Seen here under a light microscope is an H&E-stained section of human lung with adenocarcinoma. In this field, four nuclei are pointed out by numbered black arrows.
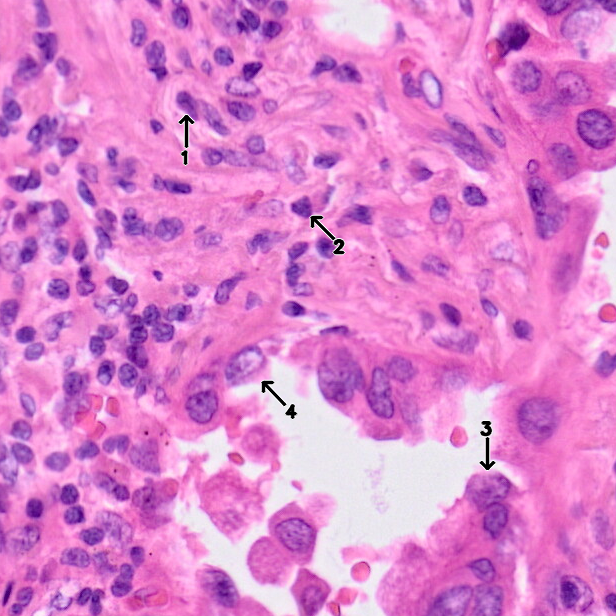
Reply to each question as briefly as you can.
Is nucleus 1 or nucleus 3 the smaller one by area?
1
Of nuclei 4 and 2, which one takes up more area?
4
